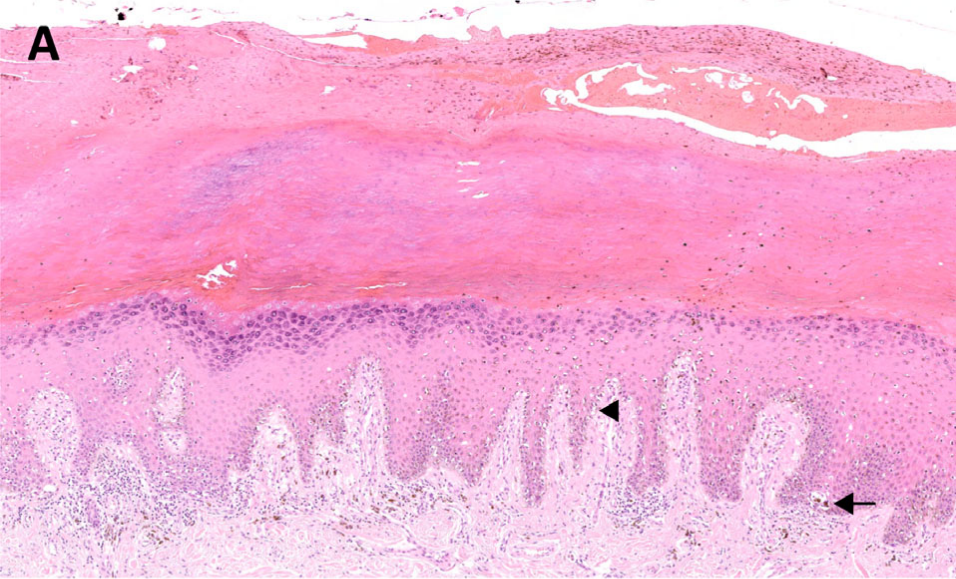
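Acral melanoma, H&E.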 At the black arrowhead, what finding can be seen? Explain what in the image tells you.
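Single cells with clear halos lie in rows along the basal epidermis. The cells line the bases of elongated rete ridges. On this evidence: lentiginous proliferation of atypical melanocytes.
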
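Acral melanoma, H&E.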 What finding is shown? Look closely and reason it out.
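A very thick layer of pink compact keratin covers the epidermis. The keratin layer is thicker than the living epidermis beneath it. On this evidence: hyperkeratosis.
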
